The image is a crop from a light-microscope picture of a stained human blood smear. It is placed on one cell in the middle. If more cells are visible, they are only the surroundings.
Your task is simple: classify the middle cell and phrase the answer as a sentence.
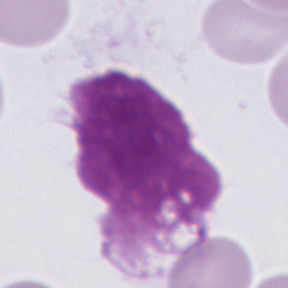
Centrally within this crop lies a smudge cell.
